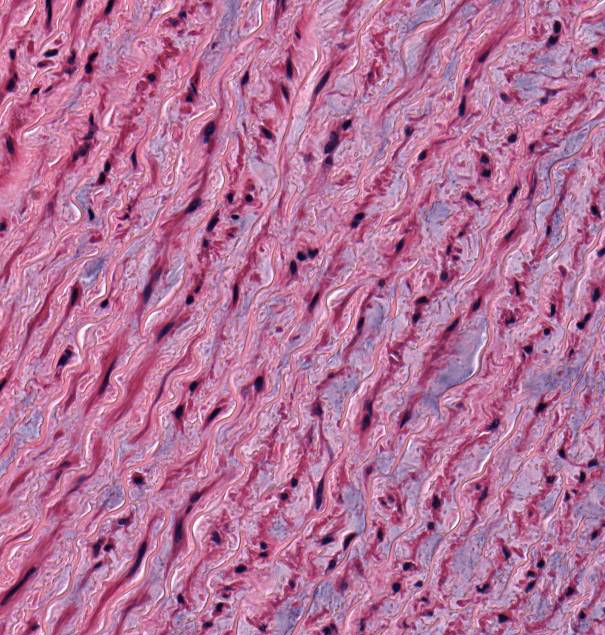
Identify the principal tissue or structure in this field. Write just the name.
tunica media of an artery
